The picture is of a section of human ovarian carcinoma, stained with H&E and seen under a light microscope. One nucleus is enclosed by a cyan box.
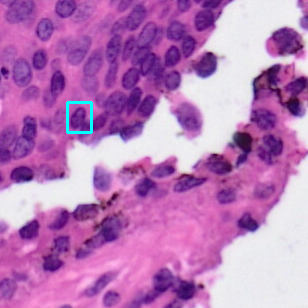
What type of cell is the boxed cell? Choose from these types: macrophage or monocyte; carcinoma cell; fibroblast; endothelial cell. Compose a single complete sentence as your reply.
To be brief about it, the boxed cell is a carcinoma cell.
